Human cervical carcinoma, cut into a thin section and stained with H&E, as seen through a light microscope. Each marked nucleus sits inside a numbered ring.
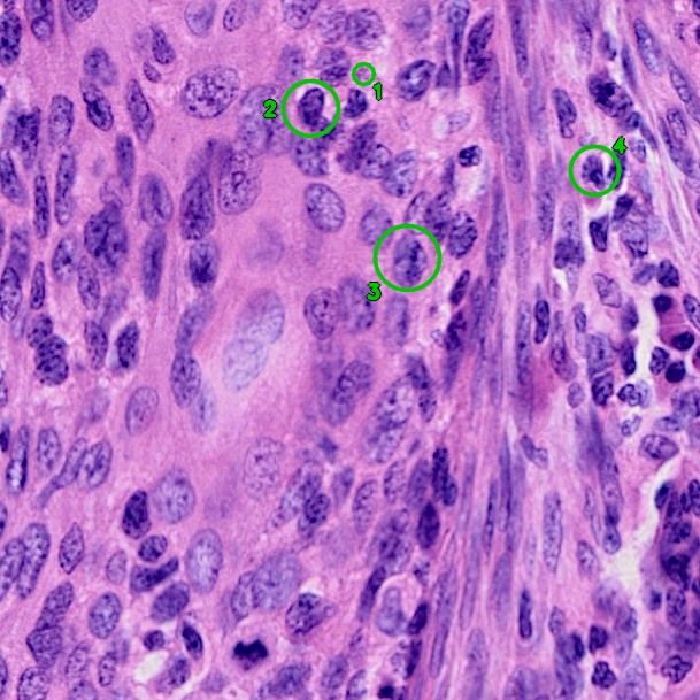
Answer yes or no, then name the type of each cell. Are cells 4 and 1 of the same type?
No, listen: cell 4 is a lymphocyte and cell 1 is a squamous carcinoma cell.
